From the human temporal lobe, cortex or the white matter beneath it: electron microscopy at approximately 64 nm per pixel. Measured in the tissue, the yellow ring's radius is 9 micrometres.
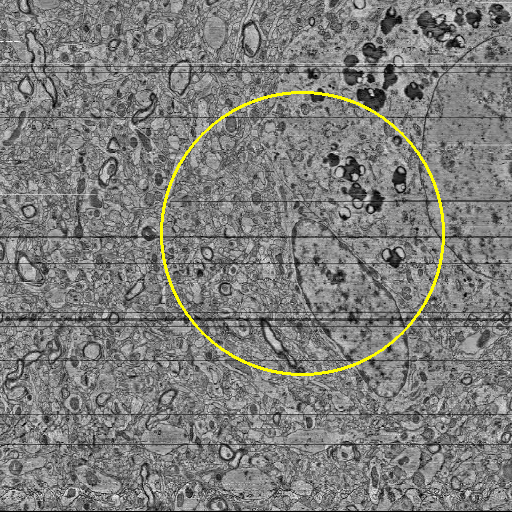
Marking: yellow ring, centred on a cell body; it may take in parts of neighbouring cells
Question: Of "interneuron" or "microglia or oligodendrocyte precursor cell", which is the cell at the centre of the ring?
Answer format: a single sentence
The ring surrounds the body of a microglial cell or oligodendrocyte precursor cell.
